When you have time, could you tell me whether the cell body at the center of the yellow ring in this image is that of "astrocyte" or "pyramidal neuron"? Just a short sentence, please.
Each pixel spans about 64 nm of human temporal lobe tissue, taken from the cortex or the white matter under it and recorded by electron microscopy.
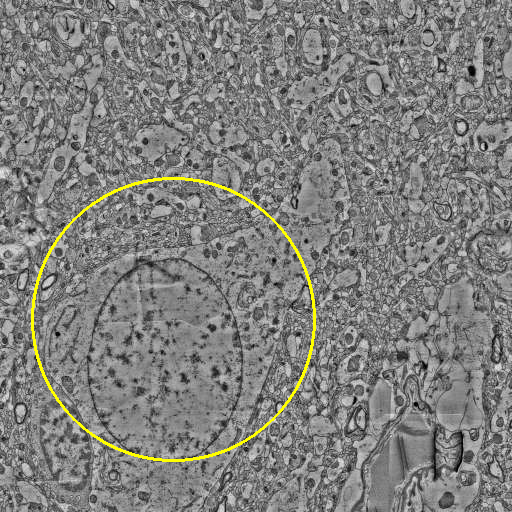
The cell body at the center of the ring is that of a pyramidal neuron.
